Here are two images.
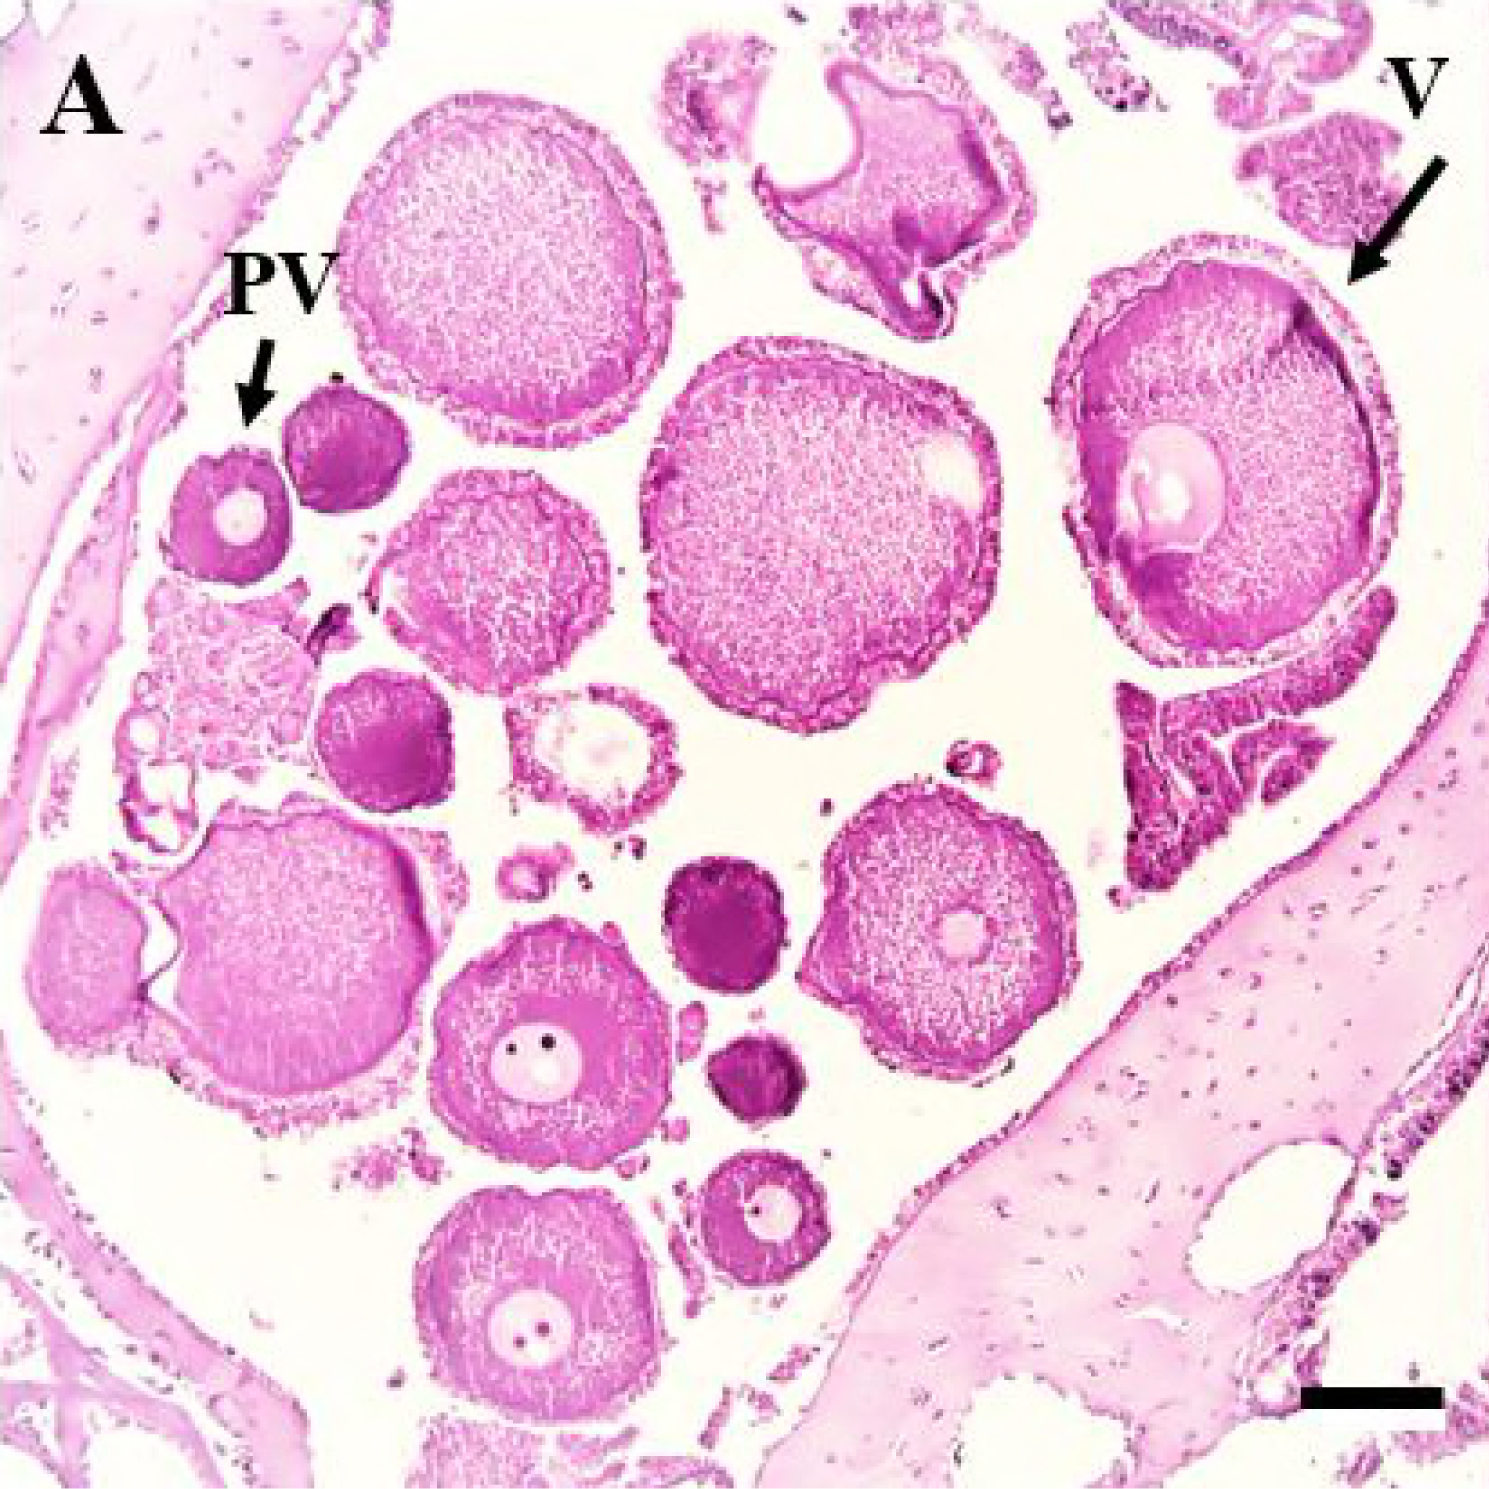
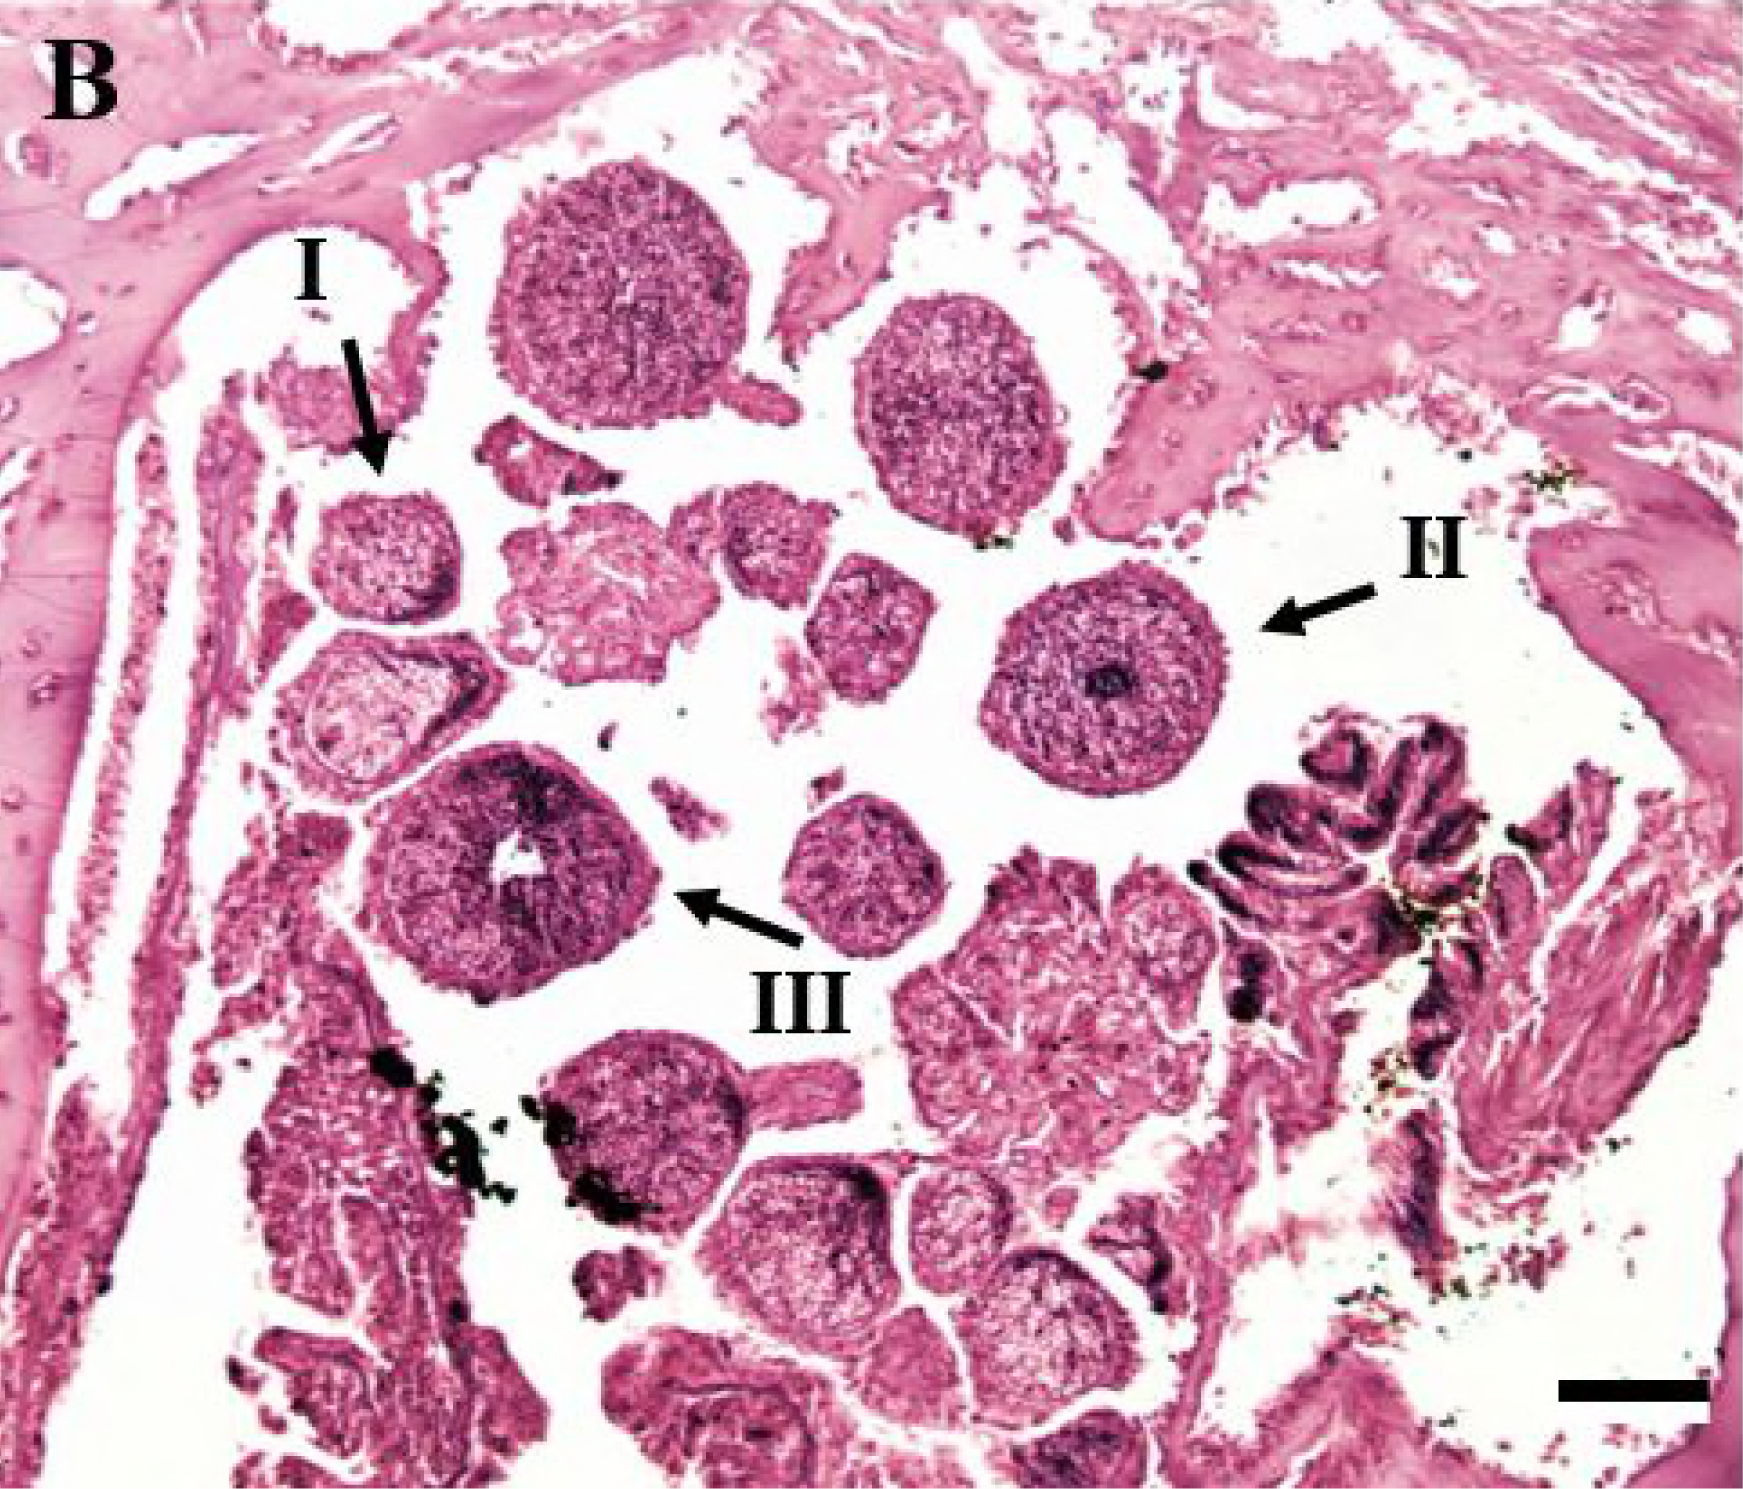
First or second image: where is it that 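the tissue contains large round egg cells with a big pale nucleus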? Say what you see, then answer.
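The first image. Second image: rounded clusters of many tiny dark cells, no large single cells with a central nucleus. First image: many large round cells with granular cytoplasm and a single pale central nucleus.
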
